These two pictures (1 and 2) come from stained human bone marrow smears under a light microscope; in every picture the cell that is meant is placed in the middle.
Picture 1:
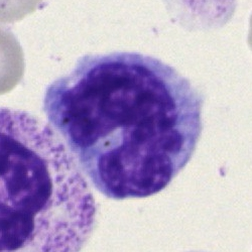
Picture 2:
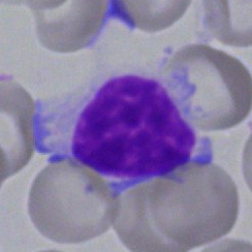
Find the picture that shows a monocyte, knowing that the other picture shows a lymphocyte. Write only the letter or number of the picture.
1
